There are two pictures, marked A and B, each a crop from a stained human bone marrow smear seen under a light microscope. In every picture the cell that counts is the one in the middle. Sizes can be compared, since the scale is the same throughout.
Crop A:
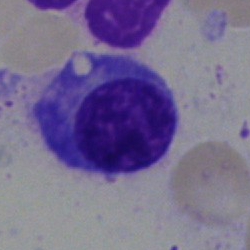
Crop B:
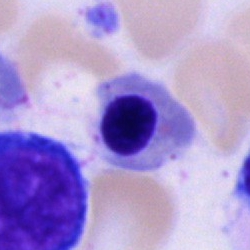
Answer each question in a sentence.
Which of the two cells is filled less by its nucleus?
It is the cell in crop B that is filled less by its nucleus.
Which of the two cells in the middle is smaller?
Crop B holds the smaller cell, since the cell in crop A covers about 2 times as much area.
